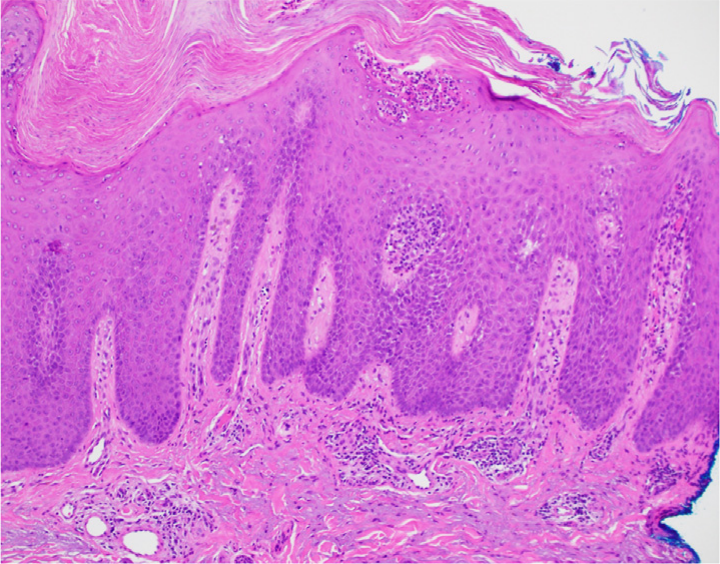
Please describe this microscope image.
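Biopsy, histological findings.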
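The section shows skin with a markedly thickened epidermis whose long, regular rete ridges extend down into the papillary dermis, and a thick compact pink cornified layer with retained flattened nuclei lies on top. Small collections of dark-nucleated inflammatory cells sit within the cornified layer and upper epidermis, while a distinct dark granular layer beneath the cornified layer is largely missing. In the upper dermis, small vessels are surrounded by clusters of small dark round lymphocytes.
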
